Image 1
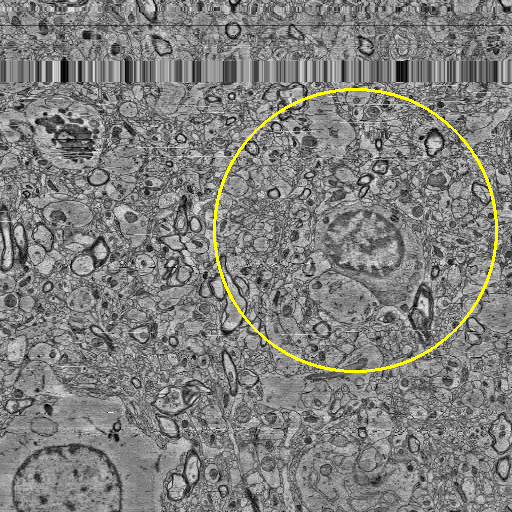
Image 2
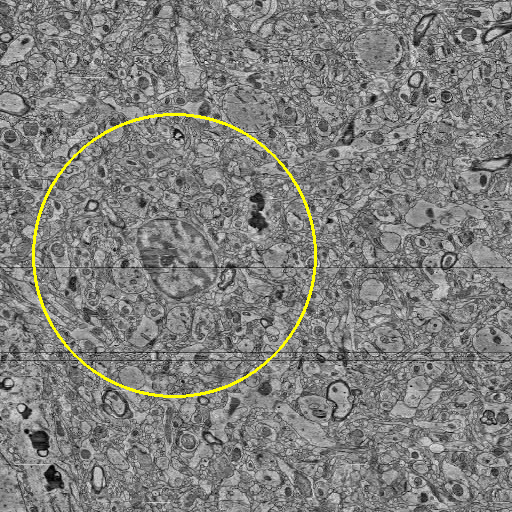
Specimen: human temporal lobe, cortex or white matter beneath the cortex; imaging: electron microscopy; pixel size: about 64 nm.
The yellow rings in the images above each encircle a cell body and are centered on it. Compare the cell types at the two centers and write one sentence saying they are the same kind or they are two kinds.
Taken together, the two cells at the ring centers are the same kind.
